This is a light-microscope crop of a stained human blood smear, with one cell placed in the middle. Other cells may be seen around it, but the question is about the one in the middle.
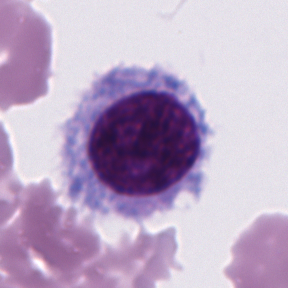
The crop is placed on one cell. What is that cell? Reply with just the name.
hairy cell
